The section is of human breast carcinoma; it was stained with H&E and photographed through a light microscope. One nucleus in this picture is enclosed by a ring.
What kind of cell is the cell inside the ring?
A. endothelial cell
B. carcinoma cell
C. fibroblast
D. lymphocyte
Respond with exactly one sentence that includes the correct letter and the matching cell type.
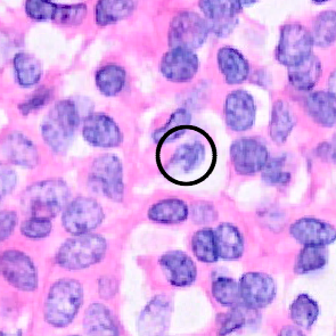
The accurate option is B, with the cell inside the ring being a carcinoma cell.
